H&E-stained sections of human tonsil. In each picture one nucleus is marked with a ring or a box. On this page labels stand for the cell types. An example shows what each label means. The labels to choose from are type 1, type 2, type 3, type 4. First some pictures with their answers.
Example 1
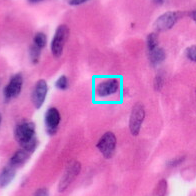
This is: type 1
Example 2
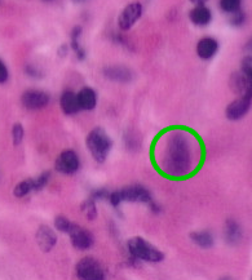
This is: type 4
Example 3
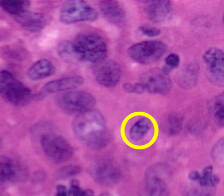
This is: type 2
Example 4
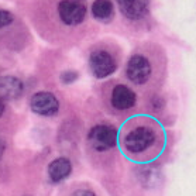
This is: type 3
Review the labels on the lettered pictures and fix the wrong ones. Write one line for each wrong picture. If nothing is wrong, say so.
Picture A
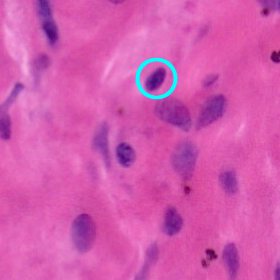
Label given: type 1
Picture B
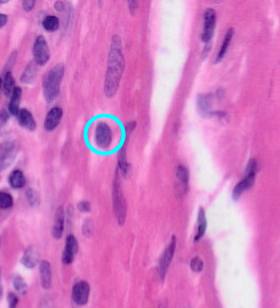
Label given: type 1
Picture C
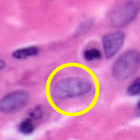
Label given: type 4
None of the labels needs changing.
